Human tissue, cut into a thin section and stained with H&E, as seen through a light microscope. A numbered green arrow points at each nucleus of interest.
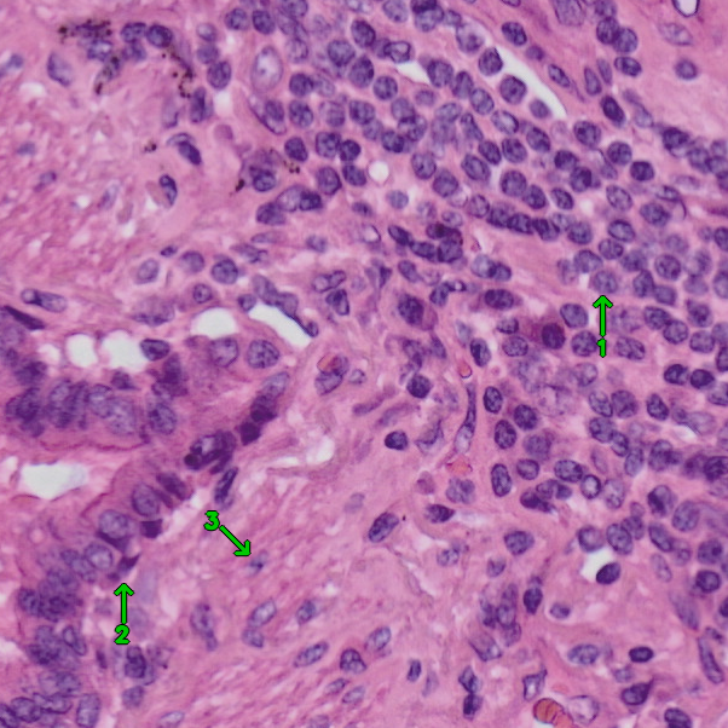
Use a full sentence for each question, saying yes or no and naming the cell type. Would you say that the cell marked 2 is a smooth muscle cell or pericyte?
No, the cell given the number 2 is a ciliated epithelial cell, so not a smooth muscle cell or pericyte.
